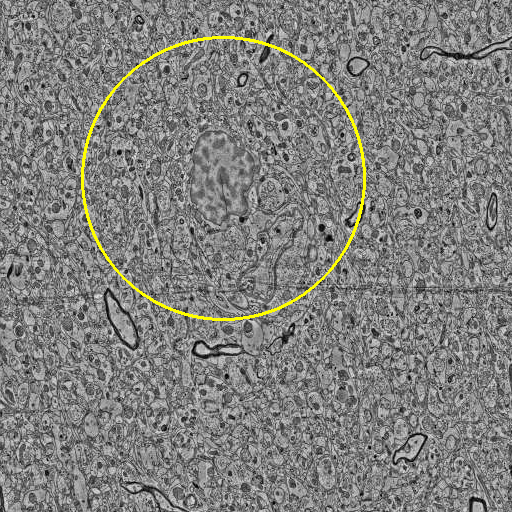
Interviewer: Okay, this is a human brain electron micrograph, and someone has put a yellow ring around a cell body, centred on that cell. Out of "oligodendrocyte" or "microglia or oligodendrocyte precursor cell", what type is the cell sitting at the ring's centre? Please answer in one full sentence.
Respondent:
The cell at the centre of the yellow ring in this picture is an oligodendrocyte.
